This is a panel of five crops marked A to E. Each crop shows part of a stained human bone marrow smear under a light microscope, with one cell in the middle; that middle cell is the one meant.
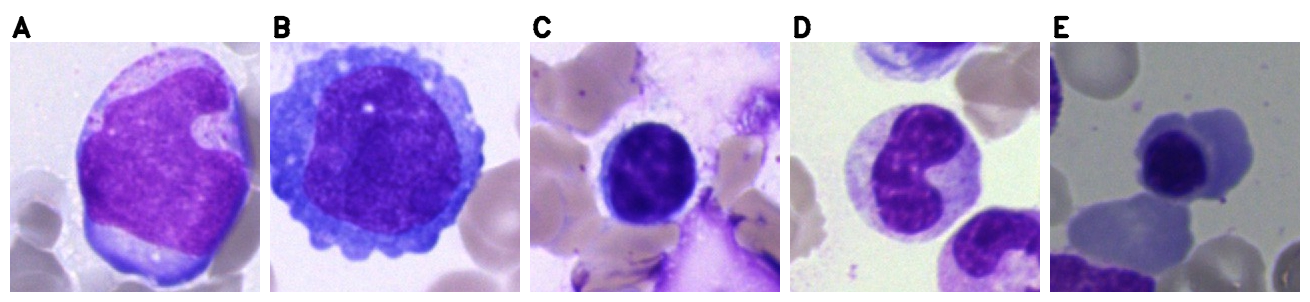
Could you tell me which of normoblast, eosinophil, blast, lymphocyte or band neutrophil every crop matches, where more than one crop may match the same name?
A: blast
B: blast
C: lymphocyte
D: band neutrophil
E: normoblast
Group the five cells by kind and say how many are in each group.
blast: 2
lymphocyte: 1
band neutrophil: 1
normoblast: 1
